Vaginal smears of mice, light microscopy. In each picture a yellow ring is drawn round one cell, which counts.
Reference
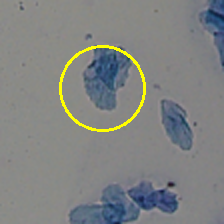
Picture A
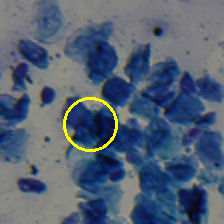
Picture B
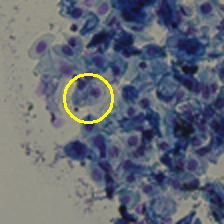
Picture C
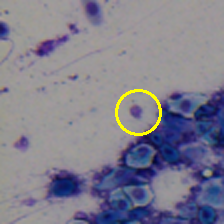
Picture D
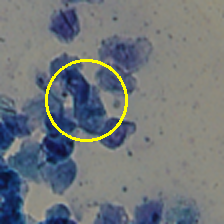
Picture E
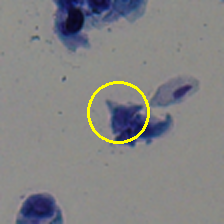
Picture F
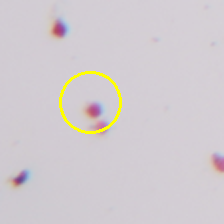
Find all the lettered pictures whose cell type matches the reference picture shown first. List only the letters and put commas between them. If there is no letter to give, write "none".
A, D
